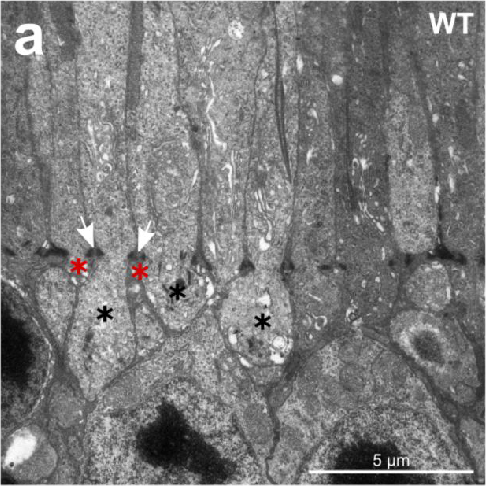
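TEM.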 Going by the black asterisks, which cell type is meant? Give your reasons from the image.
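The marked profiles are rounded cell segments lying just below the row of dense junctions. Narrow elongated cell processes run vertically above the junction row. That points to this answer: photoreceptors.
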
